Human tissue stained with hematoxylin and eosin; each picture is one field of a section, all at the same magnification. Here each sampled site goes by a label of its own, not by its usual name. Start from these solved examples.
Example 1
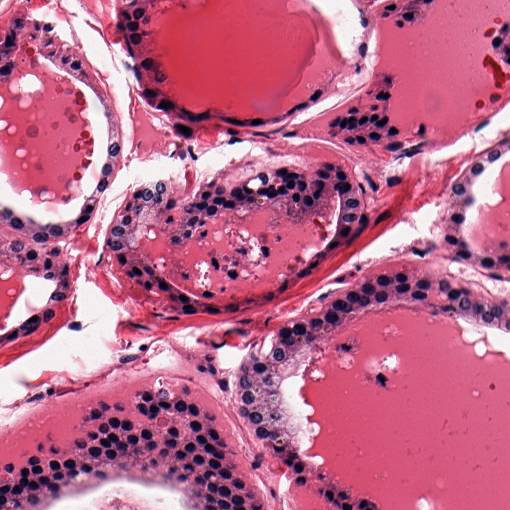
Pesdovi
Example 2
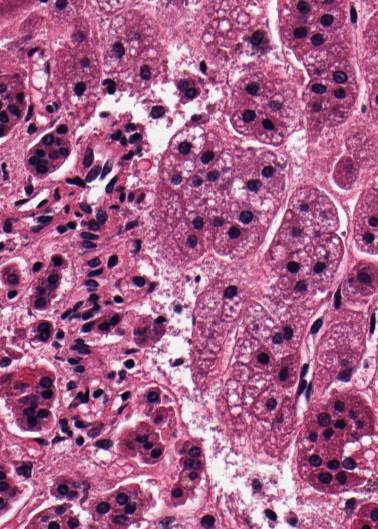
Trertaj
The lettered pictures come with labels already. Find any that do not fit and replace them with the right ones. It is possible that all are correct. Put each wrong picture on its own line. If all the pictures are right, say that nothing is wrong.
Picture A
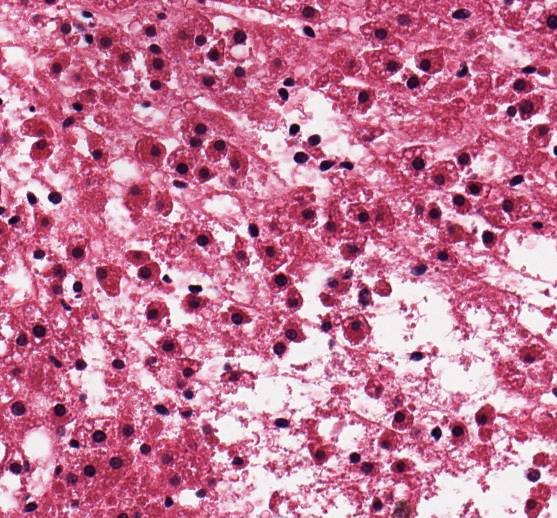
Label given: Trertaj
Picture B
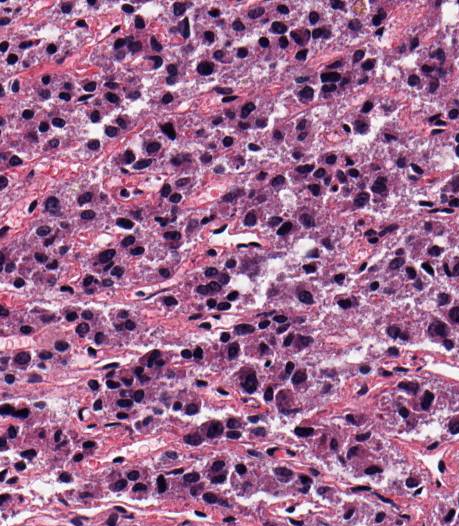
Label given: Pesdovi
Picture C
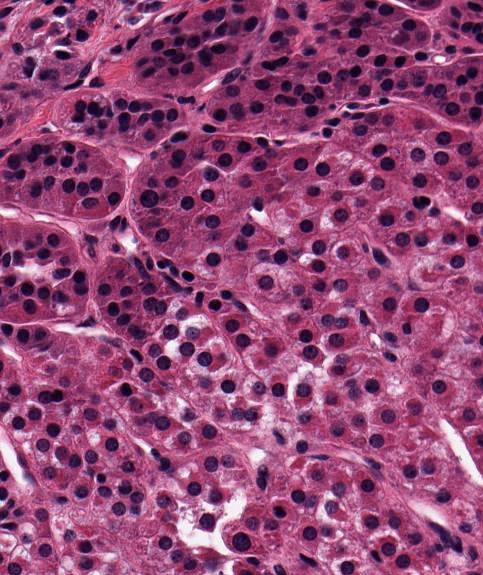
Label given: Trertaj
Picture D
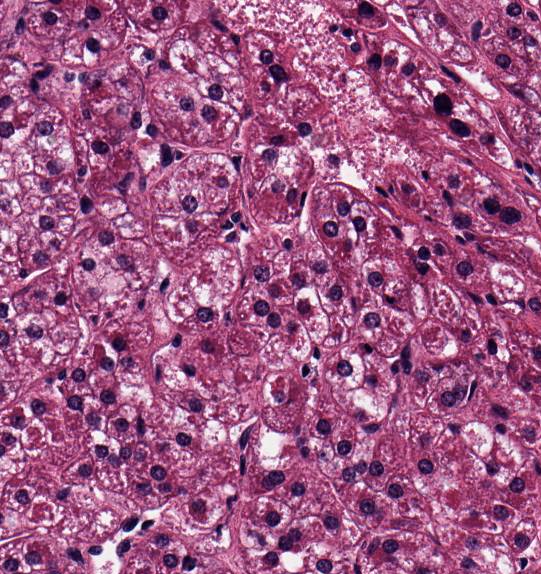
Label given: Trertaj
Wrong: B (Pesdovi); correct: Trertaj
